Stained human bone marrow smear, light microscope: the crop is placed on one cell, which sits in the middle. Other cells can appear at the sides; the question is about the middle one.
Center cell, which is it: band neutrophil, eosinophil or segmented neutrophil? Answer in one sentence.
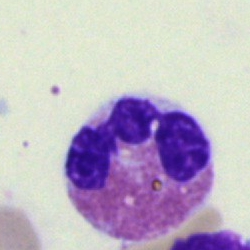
As for the cell in the middle, it is an eosinophil.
